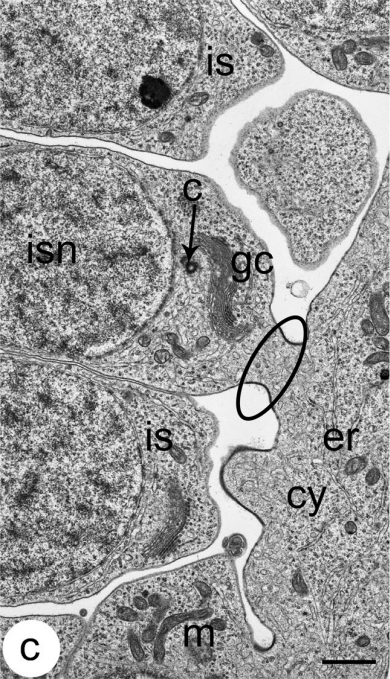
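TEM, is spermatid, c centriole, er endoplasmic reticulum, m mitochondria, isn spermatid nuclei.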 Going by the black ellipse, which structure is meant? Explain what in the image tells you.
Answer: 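Intercellular bridge. The ellipse marks a narrow cytoplasmic connection between a nucleated cell and a large anuclear cytoplasmic mass.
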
